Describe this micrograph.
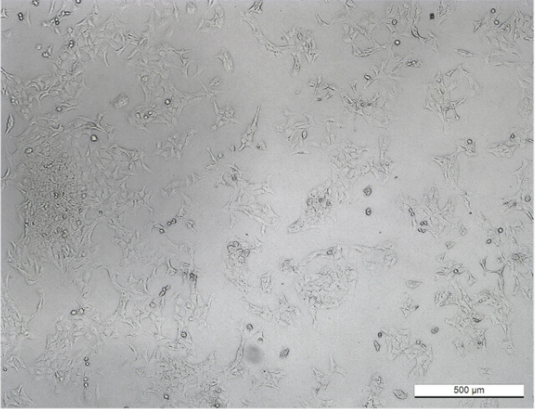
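The flat cells have polygonal outlines and form loose patches and small groups spread over the field. At the left edge the cells crowd more closely into a denser patch, while elsewhere gaps of bare dish remain between groups. A number of small, round, refractile cells are scattered among the flat ones.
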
